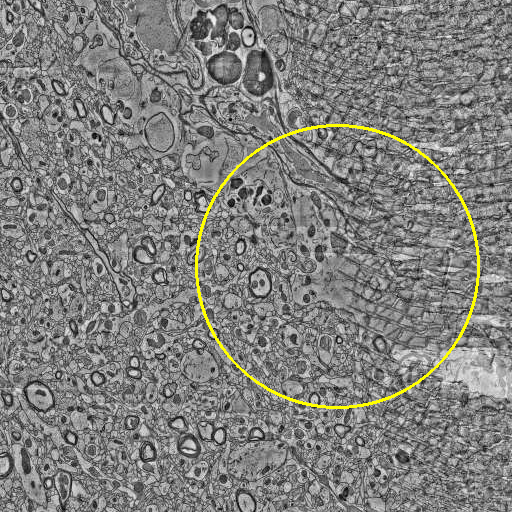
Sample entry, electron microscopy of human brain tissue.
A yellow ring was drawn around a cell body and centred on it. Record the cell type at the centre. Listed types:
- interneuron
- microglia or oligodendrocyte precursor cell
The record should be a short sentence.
The cell at the ring's centre is a microglial cell or oligodendrocyte precursor cell.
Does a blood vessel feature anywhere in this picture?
Yes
